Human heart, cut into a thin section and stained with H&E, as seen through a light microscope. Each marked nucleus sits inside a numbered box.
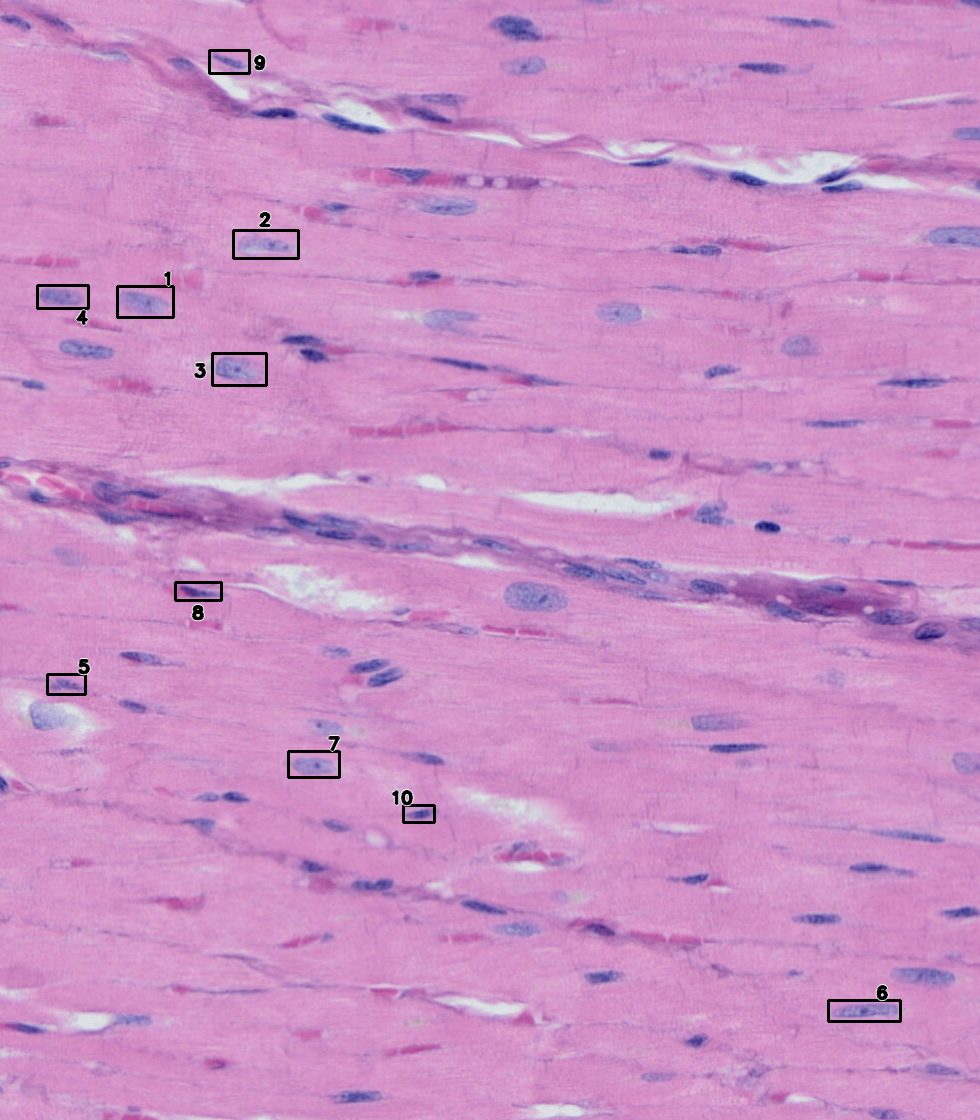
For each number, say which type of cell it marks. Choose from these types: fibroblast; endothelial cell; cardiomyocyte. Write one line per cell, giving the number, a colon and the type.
1: cardiomyocyte
2: cardiomyocyte
3: cardiomyocyte
4: cardiomyocyte
5: endothelial cell
6: cardiomyocyte
7: cardiomyocyte
8: endothelial cell
9: fibroblast
10: endothelial cell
